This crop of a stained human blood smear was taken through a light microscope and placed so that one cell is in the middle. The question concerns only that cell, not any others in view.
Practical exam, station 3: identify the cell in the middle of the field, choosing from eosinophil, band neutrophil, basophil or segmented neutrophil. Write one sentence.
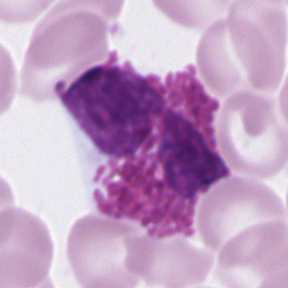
In the middle of this smear crop, the cell is an eosinophil.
